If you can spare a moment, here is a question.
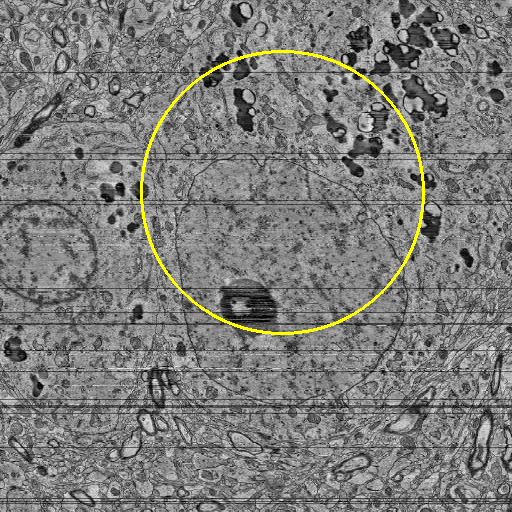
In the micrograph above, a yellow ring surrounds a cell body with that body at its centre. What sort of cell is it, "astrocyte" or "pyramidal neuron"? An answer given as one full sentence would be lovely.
Centred inside the yellow ring, the cell body shown belongs to a pyramidal neuron in this micrograph.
